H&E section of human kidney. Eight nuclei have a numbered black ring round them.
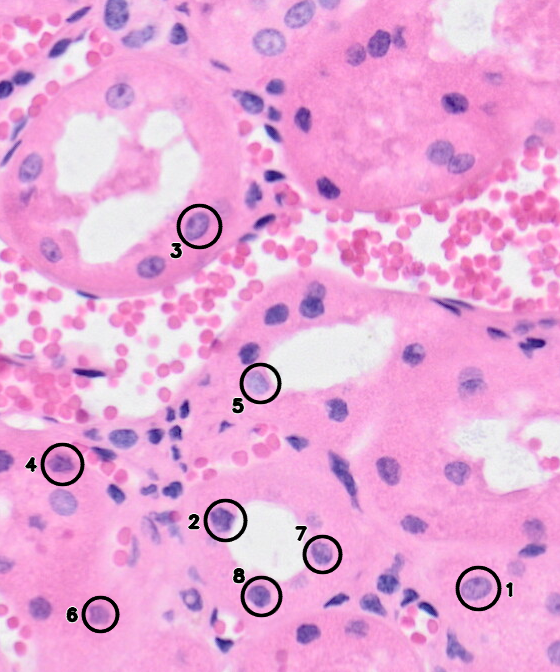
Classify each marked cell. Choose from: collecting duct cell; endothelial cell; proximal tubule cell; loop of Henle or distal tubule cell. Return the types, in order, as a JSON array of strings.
["proximal tubule cell", "loop of Henle or distal tubule cell", "proximal tubule cell", "proximal tubule cell", "loop of Henle or distal tubule cell", "proximal tubule cell", "loop of Henle or distal tubule cell", "loop of Henle or distal tubule cell"]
